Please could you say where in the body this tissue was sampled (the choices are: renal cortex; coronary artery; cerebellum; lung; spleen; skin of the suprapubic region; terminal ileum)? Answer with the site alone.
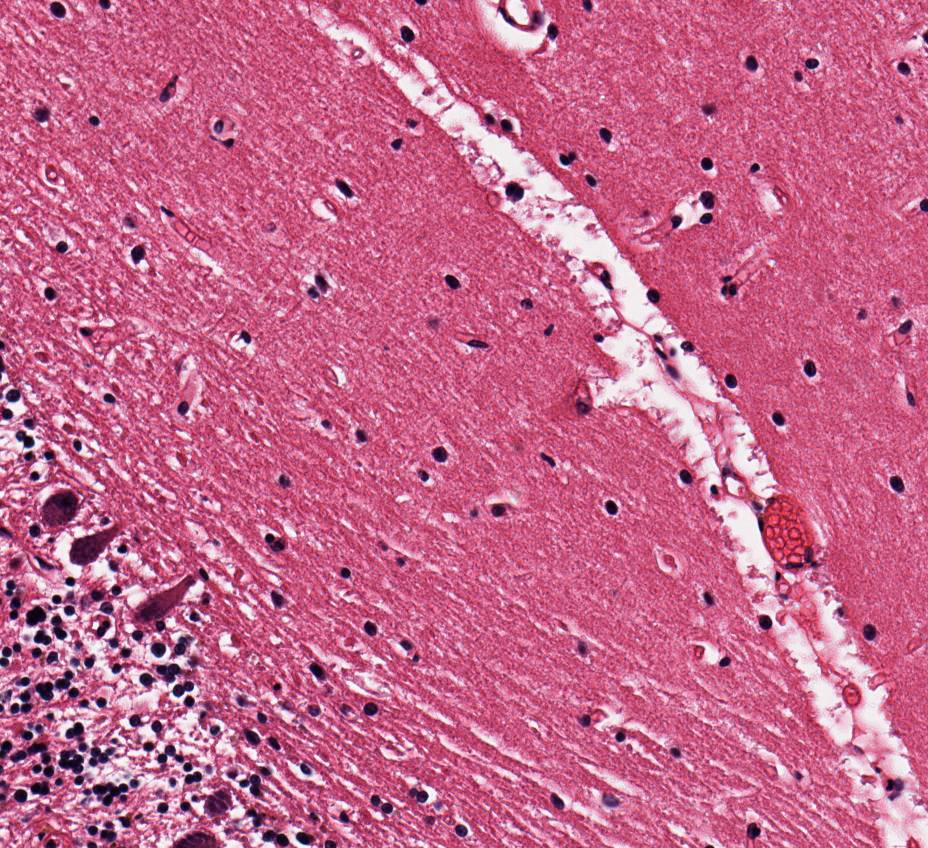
cerebellum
